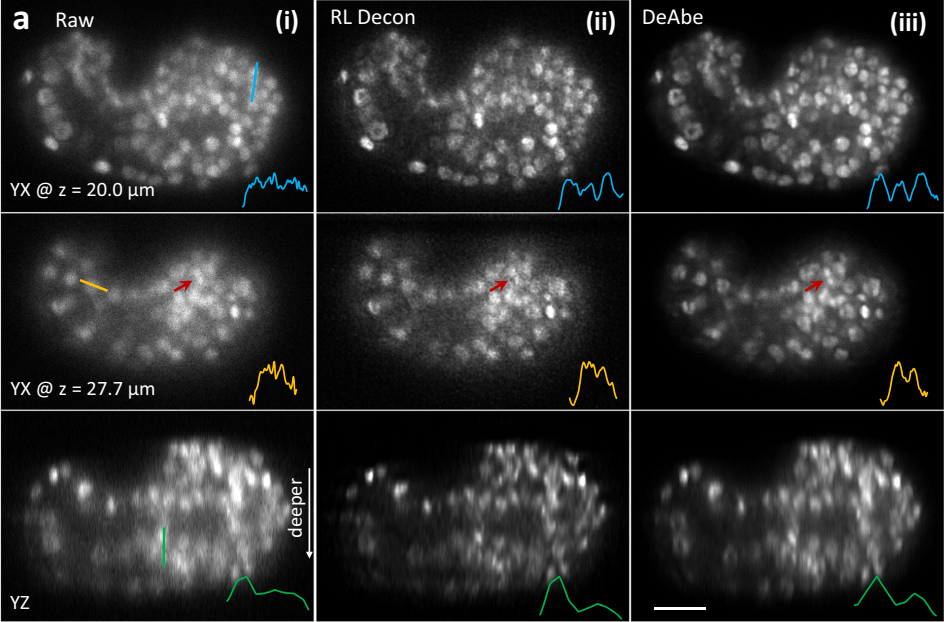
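These are whole embryos, oval to bean-shaped, packed with many small round nuclei that show as bright grey spots on a dark background. The nuclei lie close together throughout the embryo, with a constriction giving a lobed outline, and some nuclei appear as rings with a darker centre. In the left column the nuclei are hazy and run into one another, especially in the deeper plane; in the middle and right columns they are sharper and more clearly separated, the right being the smoothest. In the axial view the nuclei are stretched and blur out further from the top surface.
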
